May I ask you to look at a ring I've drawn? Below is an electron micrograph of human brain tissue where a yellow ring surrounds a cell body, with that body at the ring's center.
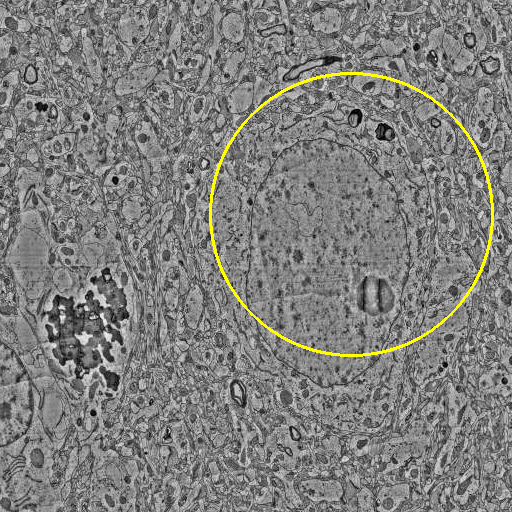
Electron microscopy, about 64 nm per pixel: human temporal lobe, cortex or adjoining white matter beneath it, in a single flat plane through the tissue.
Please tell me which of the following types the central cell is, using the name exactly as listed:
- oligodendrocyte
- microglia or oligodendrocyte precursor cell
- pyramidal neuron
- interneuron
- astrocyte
pyramidal neuron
